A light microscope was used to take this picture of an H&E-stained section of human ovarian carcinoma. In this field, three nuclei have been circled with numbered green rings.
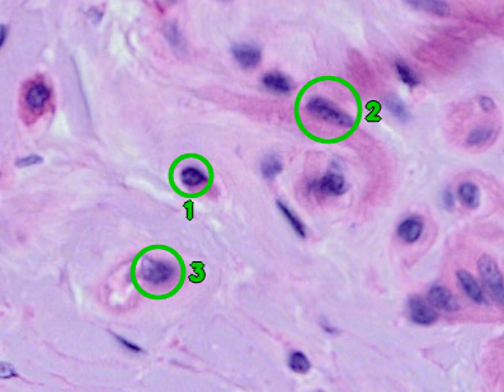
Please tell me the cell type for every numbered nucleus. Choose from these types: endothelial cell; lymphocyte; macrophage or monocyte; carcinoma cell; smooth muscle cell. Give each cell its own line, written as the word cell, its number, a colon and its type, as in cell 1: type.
cell 1: lymphocyte
cell 2: smooth muscle cell
cell 3: endothelial cell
